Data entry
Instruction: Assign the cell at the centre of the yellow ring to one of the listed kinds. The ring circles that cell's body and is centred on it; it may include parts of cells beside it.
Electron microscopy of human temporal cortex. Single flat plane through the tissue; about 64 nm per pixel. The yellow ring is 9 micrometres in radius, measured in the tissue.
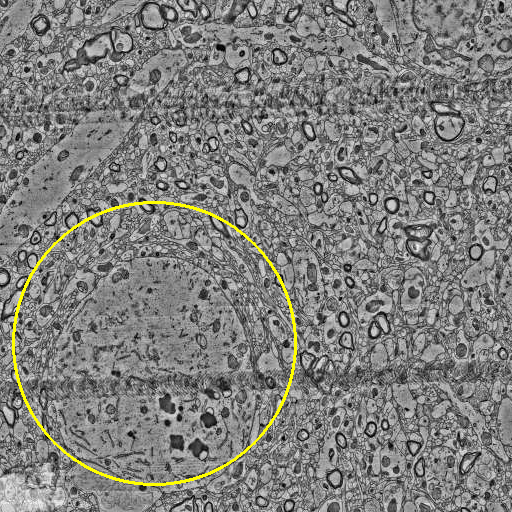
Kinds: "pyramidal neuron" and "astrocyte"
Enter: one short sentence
The centre of the ring falls on a pyramidal neuron.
